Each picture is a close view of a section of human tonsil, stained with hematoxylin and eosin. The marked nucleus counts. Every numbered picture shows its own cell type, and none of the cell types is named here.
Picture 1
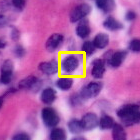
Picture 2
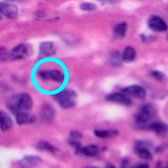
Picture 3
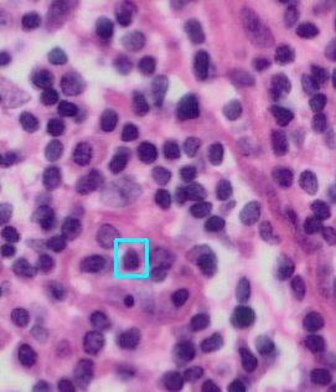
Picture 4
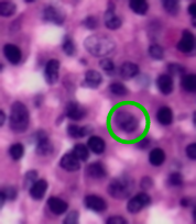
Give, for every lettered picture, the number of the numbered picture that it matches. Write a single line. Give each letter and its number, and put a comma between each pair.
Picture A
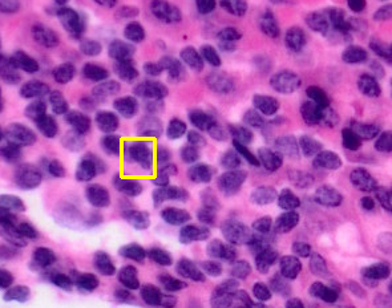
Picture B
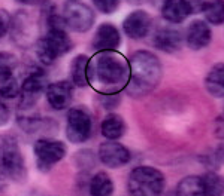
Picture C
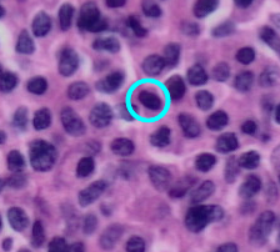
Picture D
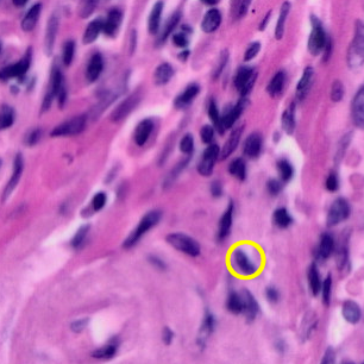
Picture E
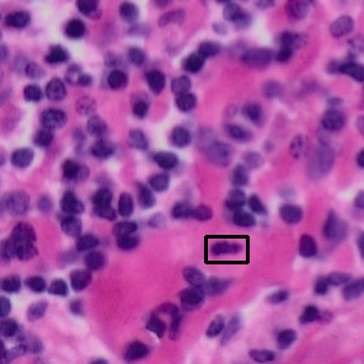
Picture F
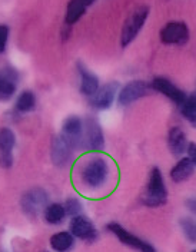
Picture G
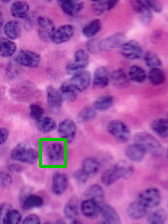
A 1, B 1, C 4, D 2, E 2, F 2, G 4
